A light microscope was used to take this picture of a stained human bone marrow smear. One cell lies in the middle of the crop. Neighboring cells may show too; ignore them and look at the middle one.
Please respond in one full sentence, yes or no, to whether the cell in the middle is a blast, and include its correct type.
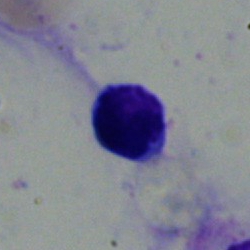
No, the cell at the center of this crop is a lymphocyte instead of a blast.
